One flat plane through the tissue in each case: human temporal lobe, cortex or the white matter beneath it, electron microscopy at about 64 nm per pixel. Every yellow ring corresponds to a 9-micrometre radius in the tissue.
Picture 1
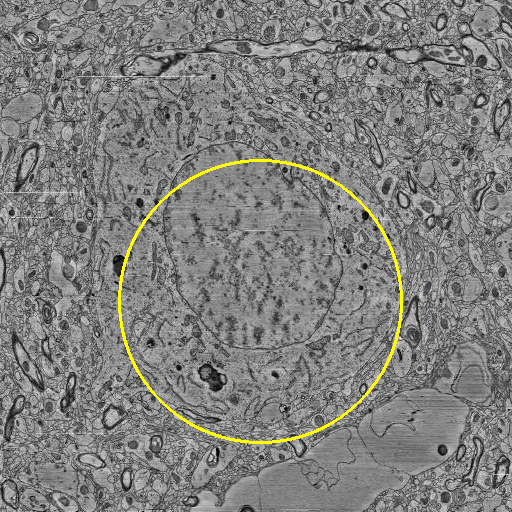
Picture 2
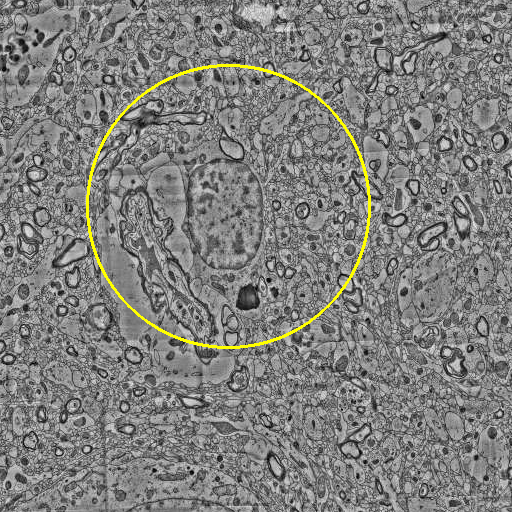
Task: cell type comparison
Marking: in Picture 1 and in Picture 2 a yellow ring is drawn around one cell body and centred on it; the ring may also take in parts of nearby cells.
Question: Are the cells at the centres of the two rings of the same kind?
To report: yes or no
no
